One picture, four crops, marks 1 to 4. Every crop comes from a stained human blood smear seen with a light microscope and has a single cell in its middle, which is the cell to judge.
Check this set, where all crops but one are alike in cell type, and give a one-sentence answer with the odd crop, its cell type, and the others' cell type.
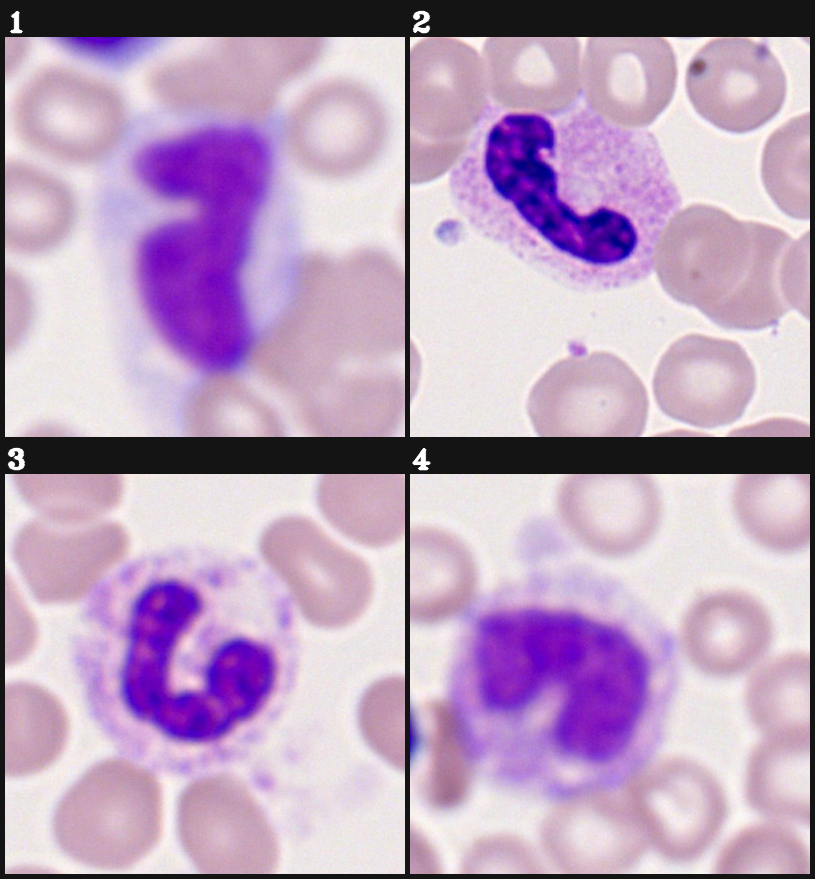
Crop 1 differs, its cell being a monocyte, whereas the other crops show band neutrophils.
